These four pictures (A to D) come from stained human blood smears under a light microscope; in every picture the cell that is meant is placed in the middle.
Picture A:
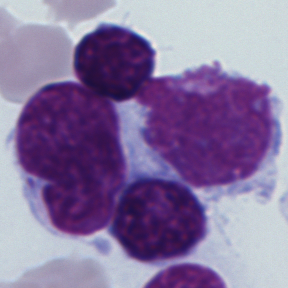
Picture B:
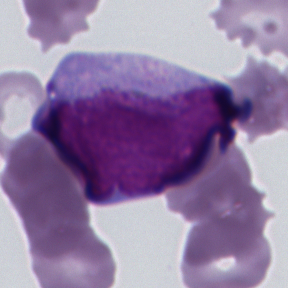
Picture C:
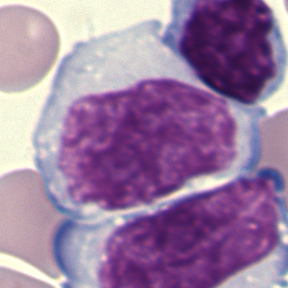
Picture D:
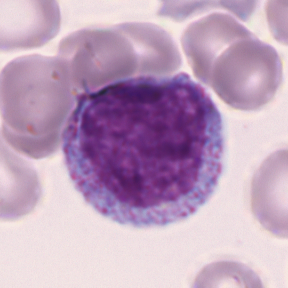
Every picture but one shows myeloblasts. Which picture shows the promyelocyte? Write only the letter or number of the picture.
D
